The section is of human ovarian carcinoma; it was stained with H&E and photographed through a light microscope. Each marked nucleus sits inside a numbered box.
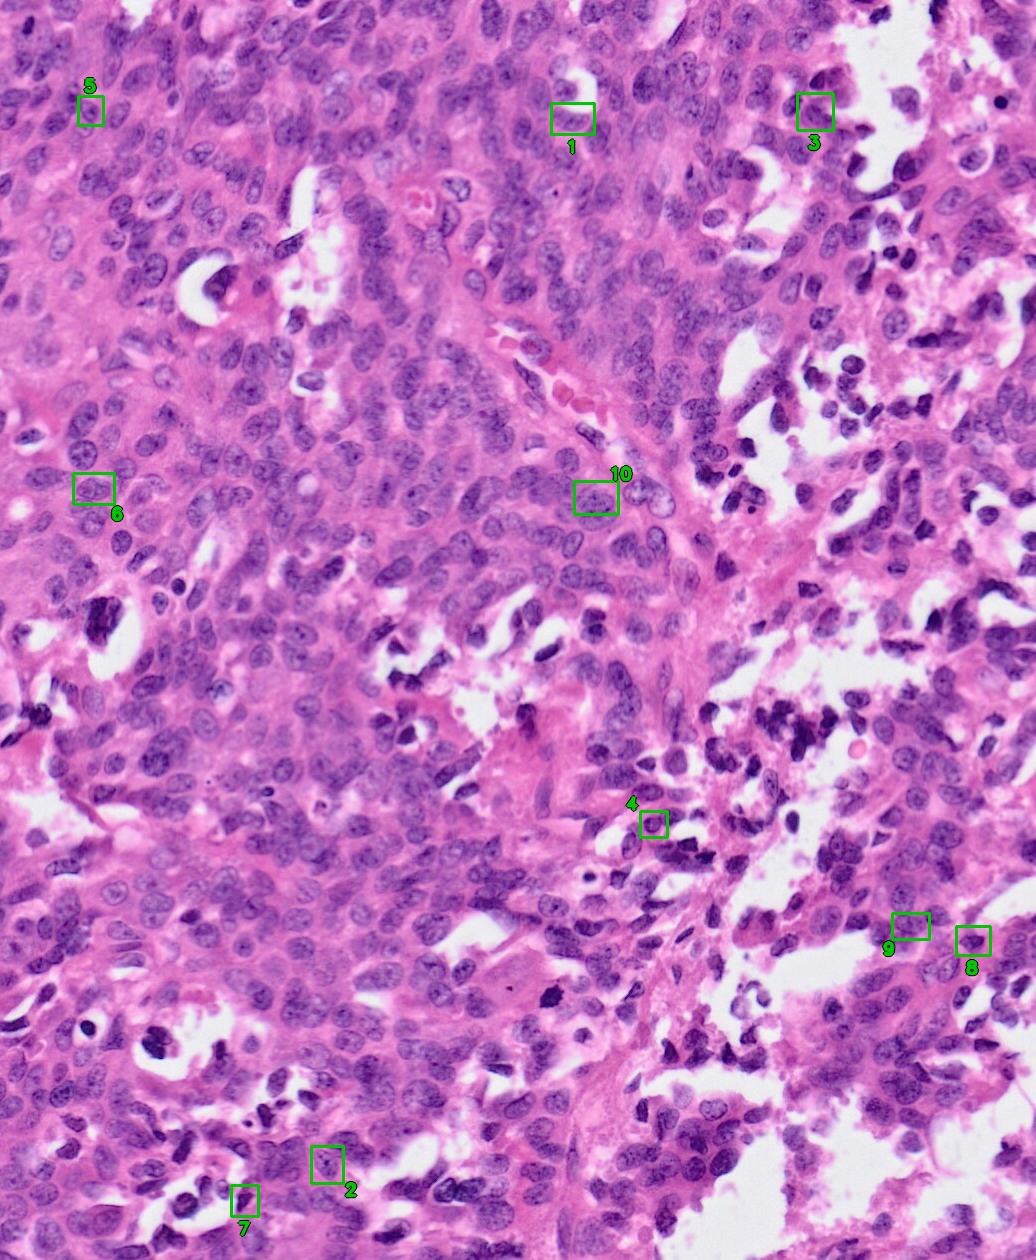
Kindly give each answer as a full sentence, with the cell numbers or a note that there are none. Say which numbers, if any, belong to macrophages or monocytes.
When it comes to cells 2, 4, 5 and 8, they are macrophages or monocytes.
